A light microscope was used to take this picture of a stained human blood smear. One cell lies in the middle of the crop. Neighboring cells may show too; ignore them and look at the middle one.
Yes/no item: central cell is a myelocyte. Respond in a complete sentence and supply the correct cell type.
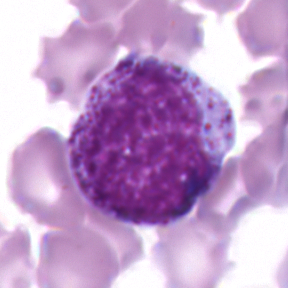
Yes, the cell in the middle has the identity of a myelocyte.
